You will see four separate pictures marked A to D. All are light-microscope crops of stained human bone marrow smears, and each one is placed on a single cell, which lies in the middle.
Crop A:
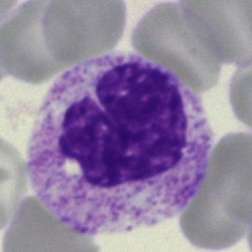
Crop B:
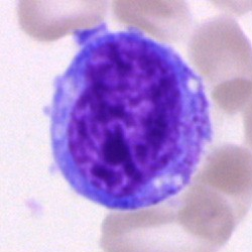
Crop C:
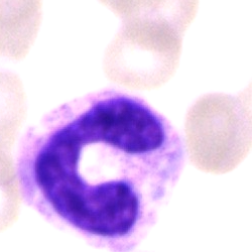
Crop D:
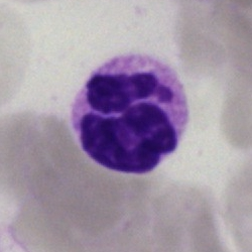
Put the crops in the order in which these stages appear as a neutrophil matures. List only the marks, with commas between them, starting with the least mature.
B, A, C, D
